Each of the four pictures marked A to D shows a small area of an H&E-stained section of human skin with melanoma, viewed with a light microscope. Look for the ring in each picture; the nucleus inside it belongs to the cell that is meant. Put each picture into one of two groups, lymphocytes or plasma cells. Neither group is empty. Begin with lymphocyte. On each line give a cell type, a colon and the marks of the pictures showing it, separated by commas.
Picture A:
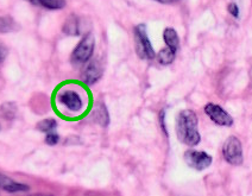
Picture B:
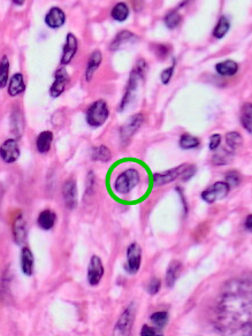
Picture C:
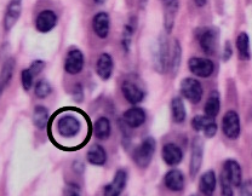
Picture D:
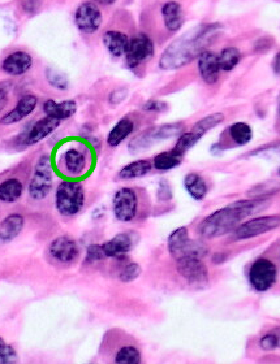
lymphocyte: A, B, C
plasma cell: D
